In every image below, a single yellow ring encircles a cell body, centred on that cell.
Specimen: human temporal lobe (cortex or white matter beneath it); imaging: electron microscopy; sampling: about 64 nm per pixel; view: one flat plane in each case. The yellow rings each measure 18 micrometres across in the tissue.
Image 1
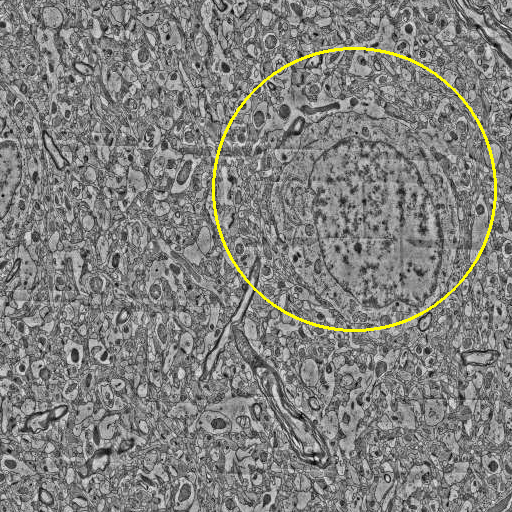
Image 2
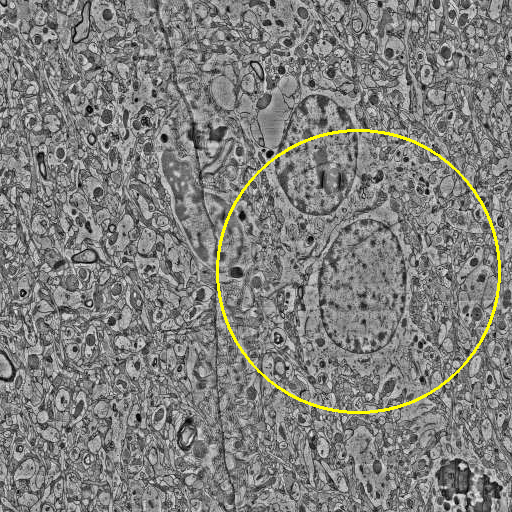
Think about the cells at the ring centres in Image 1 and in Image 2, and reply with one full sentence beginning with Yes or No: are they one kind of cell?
No, the cells centred in the rings of Image 1 and Image 2 are two kinds of cell.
